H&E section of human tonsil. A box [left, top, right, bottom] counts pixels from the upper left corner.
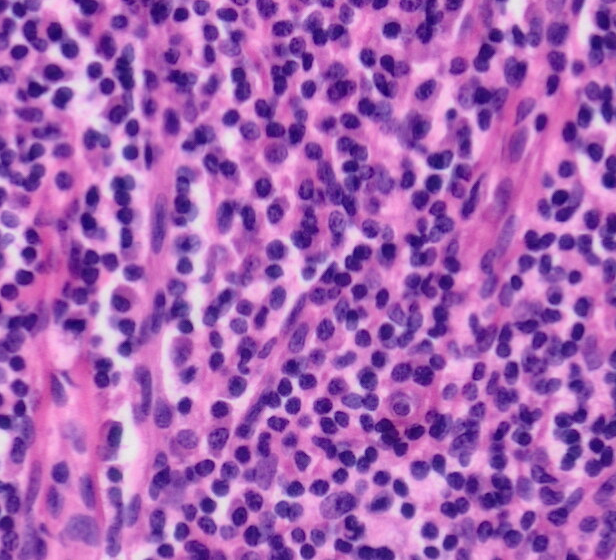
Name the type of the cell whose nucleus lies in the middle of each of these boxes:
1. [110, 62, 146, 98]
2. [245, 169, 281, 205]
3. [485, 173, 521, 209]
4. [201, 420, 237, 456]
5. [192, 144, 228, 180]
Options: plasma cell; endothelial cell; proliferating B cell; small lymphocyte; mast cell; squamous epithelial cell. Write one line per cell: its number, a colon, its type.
1: small lymphocyte
2: plasma cell
3: endothelial cell
4: plasma cell
5: plasma cell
